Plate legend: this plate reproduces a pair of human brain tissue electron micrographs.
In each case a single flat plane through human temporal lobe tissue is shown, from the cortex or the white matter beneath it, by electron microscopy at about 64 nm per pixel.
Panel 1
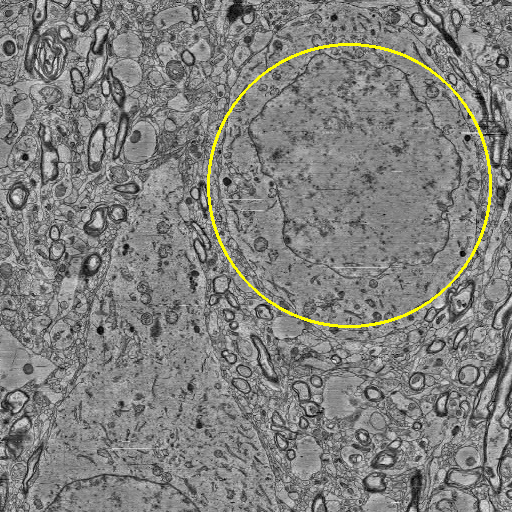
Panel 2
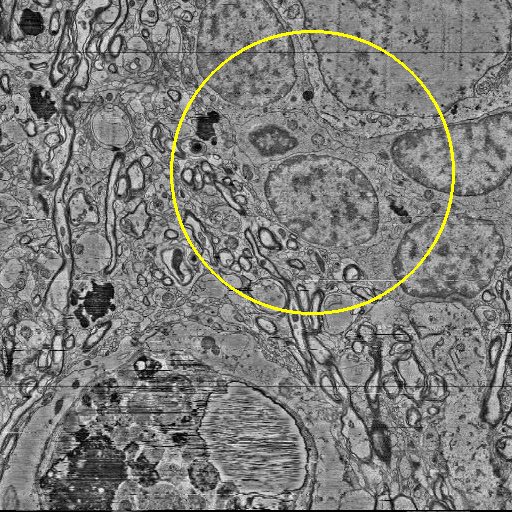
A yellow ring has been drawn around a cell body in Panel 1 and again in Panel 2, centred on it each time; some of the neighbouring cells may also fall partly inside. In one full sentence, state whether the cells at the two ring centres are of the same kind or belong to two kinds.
The ring-centred cells of Panel 1 and Panel 2 belong to two kinds.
